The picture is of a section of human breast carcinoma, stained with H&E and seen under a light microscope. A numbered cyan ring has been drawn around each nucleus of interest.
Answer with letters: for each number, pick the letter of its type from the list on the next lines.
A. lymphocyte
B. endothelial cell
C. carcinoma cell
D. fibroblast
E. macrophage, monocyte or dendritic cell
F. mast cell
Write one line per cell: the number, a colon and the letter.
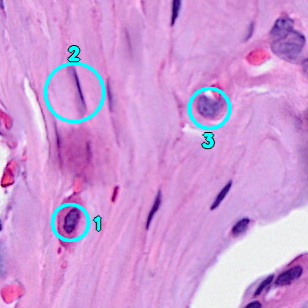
1: F
2: D
3: B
